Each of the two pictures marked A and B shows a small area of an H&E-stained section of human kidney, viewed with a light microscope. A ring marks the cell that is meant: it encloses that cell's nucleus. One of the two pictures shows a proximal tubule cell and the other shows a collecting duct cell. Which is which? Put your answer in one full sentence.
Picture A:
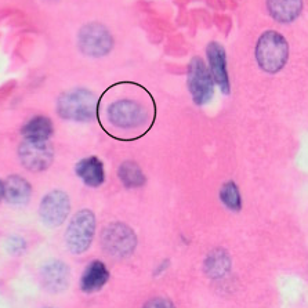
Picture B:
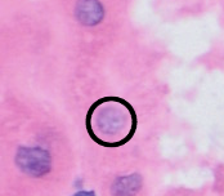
Picture A shows a collecting duct cell and picture B shows a proximal tubule cell.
